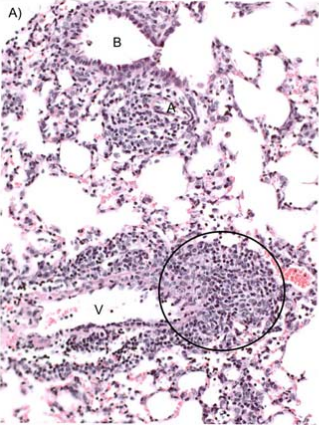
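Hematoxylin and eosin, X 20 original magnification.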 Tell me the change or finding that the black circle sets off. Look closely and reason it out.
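Multilayered mononuclear cells. The circle encloses a dense cuff of many small dark round nuclei. The cuff lies in the wall beside a vessel lumen.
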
